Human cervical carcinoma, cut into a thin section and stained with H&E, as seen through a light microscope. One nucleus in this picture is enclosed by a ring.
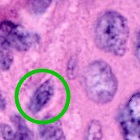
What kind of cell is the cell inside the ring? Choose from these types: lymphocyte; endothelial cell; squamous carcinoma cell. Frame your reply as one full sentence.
The expected answer is simply that the cell inside the ring is a squamous carcinoma cell.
